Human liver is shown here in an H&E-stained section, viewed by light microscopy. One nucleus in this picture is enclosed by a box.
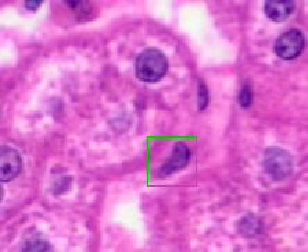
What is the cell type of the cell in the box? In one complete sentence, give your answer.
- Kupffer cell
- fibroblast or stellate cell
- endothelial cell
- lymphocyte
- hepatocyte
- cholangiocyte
In the tissue under study, the cell in the box is a Kupffer cell.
